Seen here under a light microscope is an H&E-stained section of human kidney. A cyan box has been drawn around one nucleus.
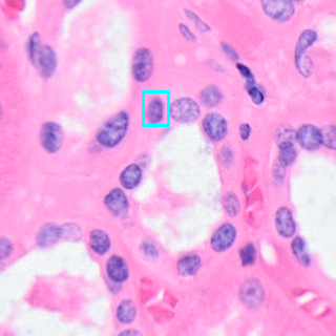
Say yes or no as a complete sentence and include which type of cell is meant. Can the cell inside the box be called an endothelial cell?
No, score the cell inside the box as a collecting duct cell; it is not an endothelial cell.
